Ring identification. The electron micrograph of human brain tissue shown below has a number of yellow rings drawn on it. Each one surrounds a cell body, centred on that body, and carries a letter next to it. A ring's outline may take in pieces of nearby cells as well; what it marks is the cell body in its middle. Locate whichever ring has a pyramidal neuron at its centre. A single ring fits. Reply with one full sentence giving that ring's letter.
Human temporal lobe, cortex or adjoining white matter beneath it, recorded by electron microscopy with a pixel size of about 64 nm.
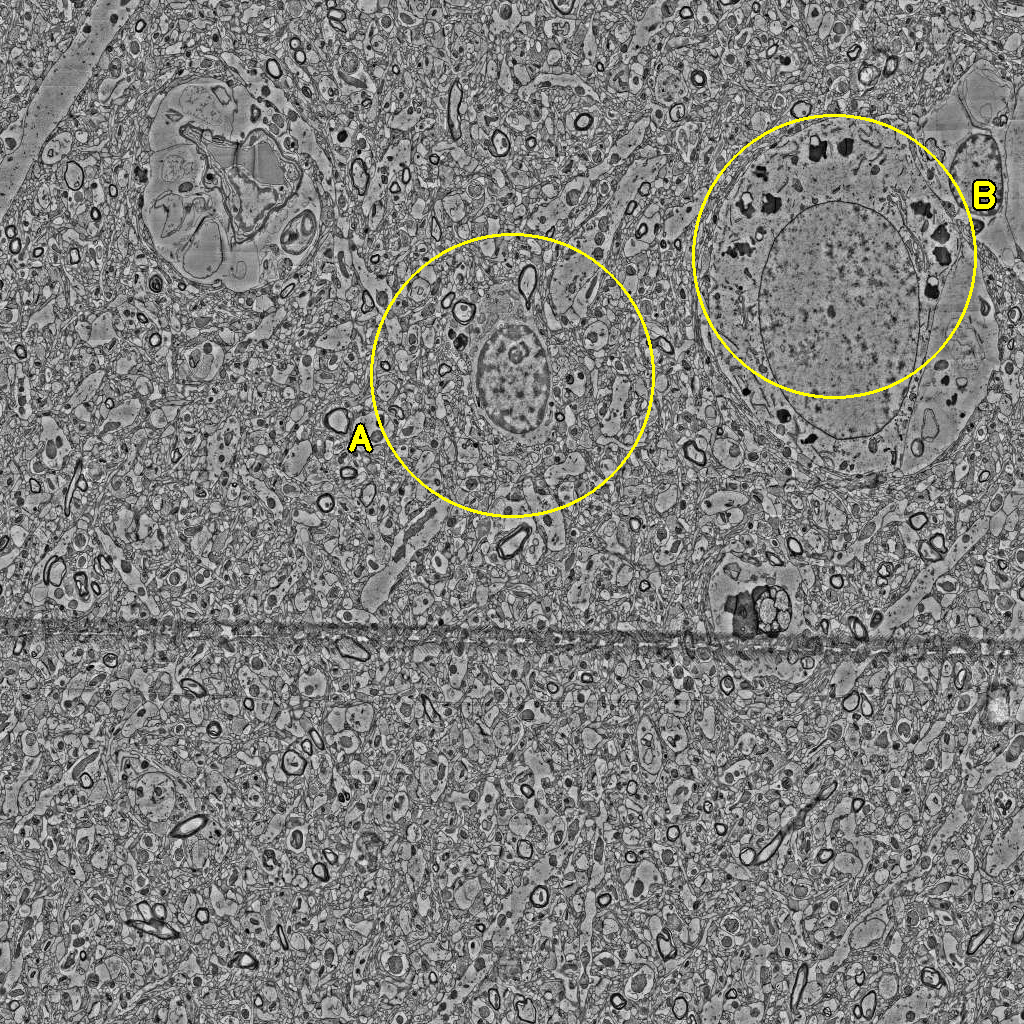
The letter B belongs to the ring centred on a cell of that kind.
